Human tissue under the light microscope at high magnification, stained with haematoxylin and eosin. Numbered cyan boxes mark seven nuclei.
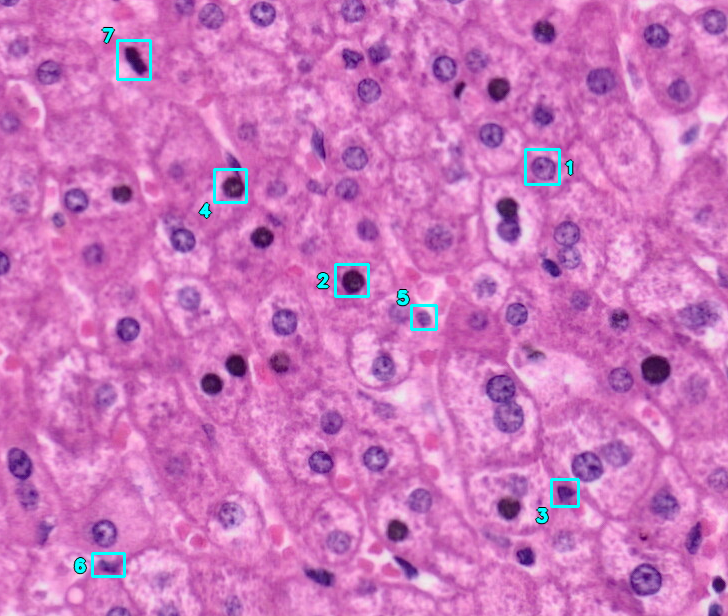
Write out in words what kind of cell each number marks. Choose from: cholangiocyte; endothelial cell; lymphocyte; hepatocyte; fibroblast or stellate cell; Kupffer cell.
Cell 1 is a hepatocyte, cell 2 is a hepatocyte, cell 3 is a fibroblast or stellate cell, cell 4 is a hepatocyte, cell 5 is a lymphocyte, cell 6 is a fibroblast or stellate cell and cell 7 is a fibroblast or stellate cell.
